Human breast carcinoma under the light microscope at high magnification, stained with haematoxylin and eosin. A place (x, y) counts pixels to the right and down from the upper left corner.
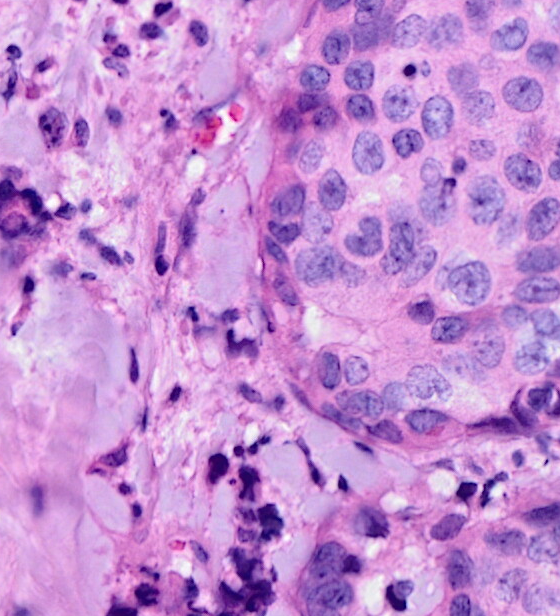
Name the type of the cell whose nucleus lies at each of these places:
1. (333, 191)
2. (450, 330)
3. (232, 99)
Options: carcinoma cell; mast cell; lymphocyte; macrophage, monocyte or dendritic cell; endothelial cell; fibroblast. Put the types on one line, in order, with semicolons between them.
carcinoma cell; carcinoma cell; endothelial cell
